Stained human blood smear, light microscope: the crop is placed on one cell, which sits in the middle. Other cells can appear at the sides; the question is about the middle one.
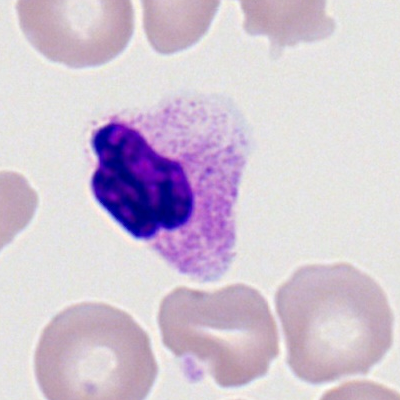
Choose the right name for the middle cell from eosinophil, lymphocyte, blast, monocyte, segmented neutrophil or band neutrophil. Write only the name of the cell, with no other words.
segmented neutrophil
